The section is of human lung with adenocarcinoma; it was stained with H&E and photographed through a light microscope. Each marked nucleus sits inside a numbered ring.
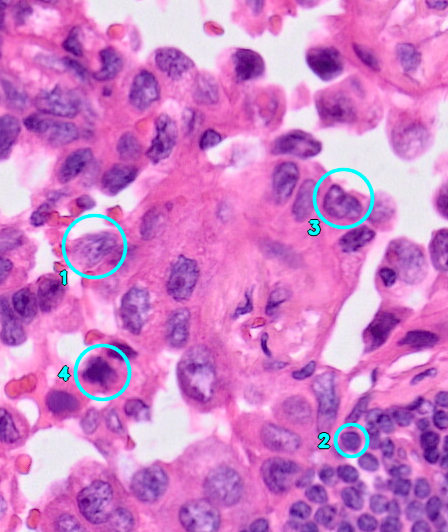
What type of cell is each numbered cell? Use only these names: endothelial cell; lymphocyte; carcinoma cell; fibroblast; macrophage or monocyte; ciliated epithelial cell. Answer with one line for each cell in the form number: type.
1: carcinoma cell
2: lymphocyte
3: carcinoma cell
4: carcinoma cell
